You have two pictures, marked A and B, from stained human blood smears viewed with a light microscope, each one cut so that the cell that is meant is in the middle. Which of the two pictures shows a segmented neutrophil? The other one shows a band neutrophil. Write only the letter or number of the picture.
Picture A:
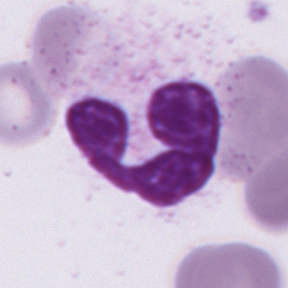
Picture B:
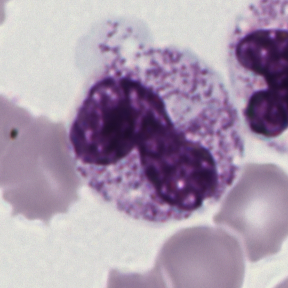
A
